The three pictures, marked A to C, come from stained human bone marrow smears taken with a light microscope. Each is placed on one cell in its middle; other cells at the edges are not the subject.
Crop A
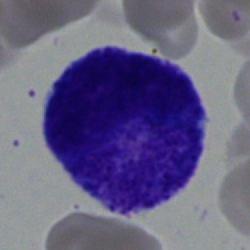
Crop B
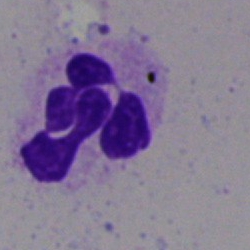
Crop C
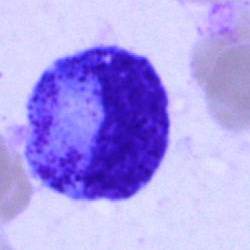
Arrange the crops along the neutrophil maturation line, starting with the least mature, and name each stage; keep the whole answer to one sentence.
By increasing maturity, the order is crop A (a promyelocyte), crop C (a metamyelocyte) and crop B (a segmented neutrophil).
